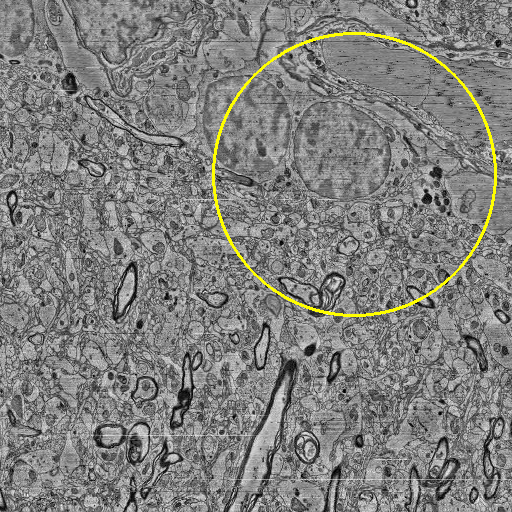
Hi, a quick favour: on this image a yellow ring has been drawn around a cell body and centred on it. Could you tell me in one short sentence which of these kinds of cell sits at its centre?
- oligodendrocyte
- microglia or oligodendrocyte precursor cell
The ring is centred on an oligodendrocyte.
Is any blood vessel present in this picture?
Yes, the picture includes a blood vessel.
